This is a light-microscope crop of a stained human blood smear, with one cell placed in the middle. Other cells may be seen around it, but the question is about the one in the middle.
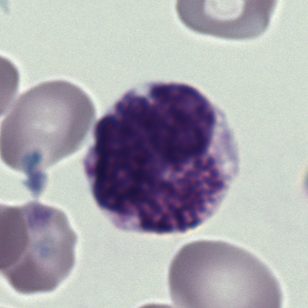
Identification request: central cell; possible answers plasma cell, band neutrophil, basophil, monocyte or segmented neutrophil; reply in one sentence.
In short, the cell at the center is a basophil.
